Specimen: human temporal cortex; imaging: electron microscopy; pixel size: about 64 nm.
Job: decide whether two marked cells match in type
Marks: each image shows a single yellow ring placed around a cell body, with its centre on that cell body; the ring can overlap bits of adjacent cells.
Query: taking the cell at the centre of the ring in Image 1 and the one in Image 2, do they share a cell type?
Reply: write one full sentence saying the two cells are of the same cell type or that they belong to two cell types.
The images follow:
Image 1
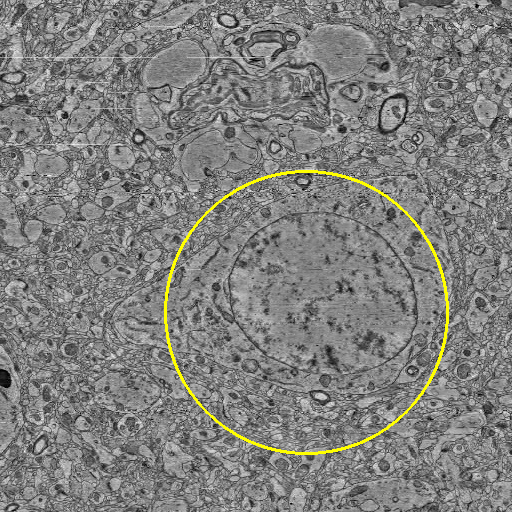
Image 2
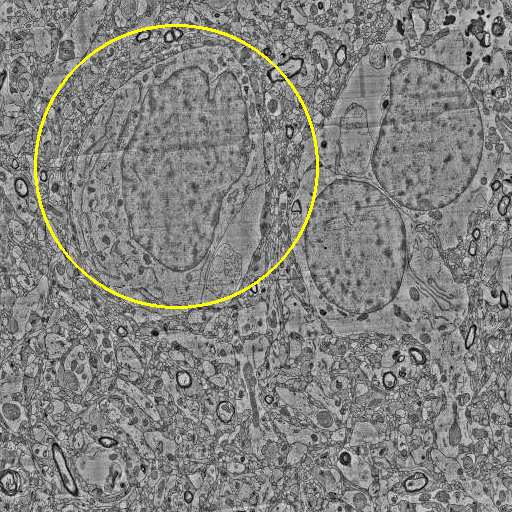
The cells at the ring centres in Image 1 and Image 2 belong to two cell types.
